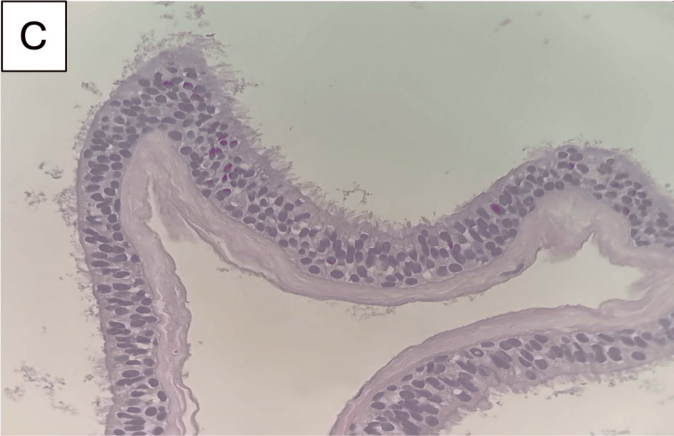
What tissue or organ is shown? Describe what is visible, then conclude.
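Tall cells line a thin folded wall. Oval nuclei lie crowded at several different heights within one cell layer. The layer rests on a thin pink fibrous band.
Conclusion: pseudostratified columnar epithelium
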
